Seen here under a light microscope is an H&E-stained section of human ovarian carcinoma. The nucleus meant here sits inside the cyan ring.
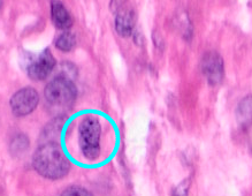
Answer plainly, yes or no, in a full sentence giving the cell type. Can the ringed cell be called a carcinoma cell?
No, on this slide the ringed cell is a macrophage or monocyte, not a carcinoma cell.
